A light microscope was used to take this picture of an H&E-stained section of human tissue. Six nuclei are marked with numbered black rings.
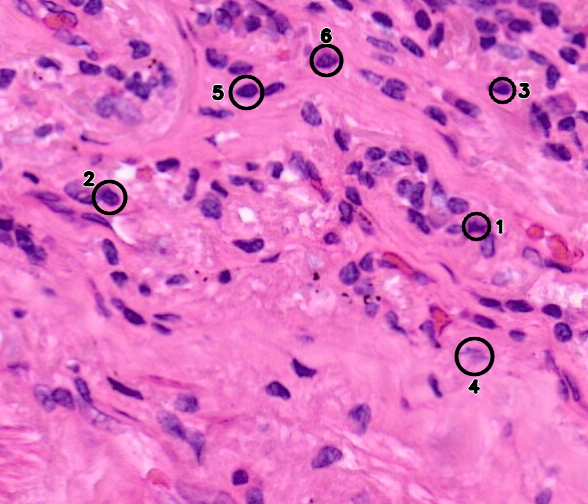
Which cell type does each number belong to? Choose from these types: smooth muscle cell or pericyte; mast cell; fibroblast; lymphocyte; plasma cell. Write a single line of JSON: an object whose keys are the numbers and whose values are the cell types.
{"1": "plasma cell", "2": "lymphocyte", "3": "lymphocyte", "4": "fibroblast", "5": "lymphocyte", "6": "plasma cell"}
